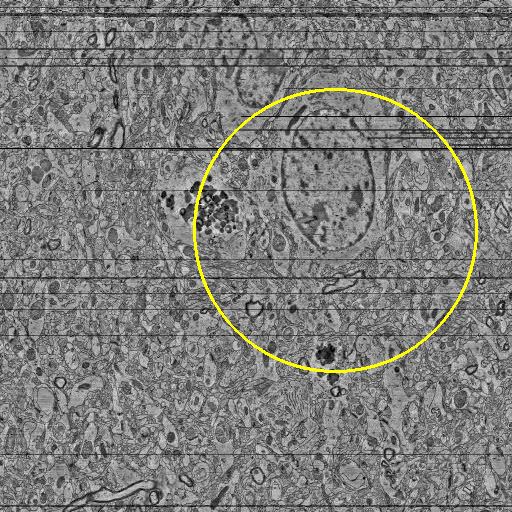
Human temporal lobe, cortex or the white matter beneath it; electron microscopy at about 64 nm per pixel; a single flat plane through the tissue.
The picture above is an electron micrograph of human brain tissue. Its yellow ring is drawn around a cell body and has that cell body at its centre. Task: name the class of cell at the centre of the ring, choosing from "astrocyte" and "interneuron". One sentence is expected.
The ring surrounds the body of an astrocyte.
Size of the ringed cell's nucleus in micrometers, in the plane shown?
Clearly longer than it is wide in this plane, the nucleus measures roughly 10 by 6 micrometres.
